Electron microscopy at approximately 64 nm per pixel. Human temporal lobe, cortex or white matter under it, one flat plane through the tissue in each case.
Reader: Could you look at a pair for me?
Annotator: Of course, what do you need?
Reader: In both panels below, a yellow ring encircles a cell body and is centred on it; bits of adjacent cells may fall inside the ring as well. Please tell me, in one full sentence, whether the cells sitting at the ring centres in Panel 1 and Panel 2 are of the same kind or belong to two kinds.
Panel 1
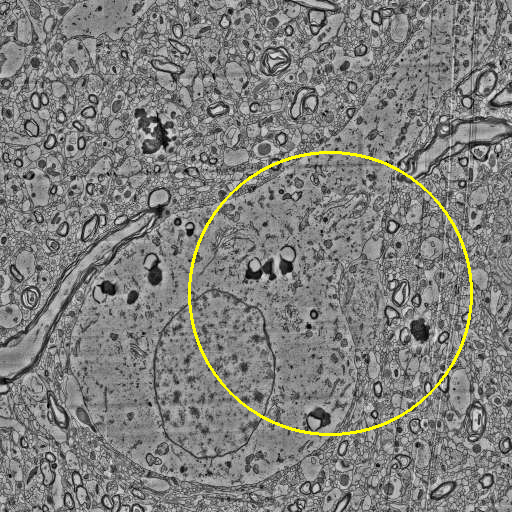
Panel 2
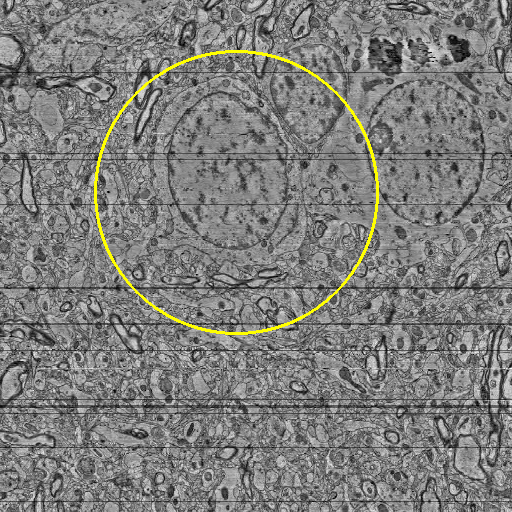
The cell at the ring's centre in Panel 1 and the one in Panel 2 belong to two kinds.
